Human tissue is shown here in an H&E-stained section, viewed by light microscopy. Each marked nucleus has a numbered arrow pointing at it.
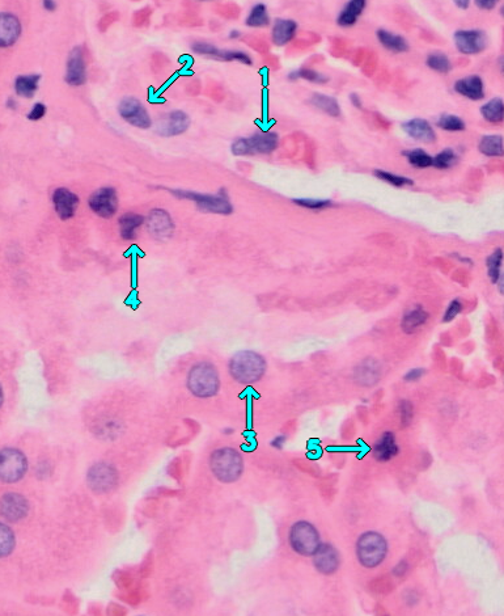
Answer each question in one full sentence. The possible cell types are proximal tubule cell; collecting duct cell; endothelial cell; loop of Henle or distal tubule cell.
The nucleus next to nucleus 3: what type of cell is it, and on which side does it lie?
Just to the left of nucleus 3 lies the nearest nucleus, which belongs to a proximal tubule cell.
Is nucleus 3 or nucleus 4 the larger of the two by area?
Nucleus 3 is larger, with an area about 1.5 times that of nucleus 4.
